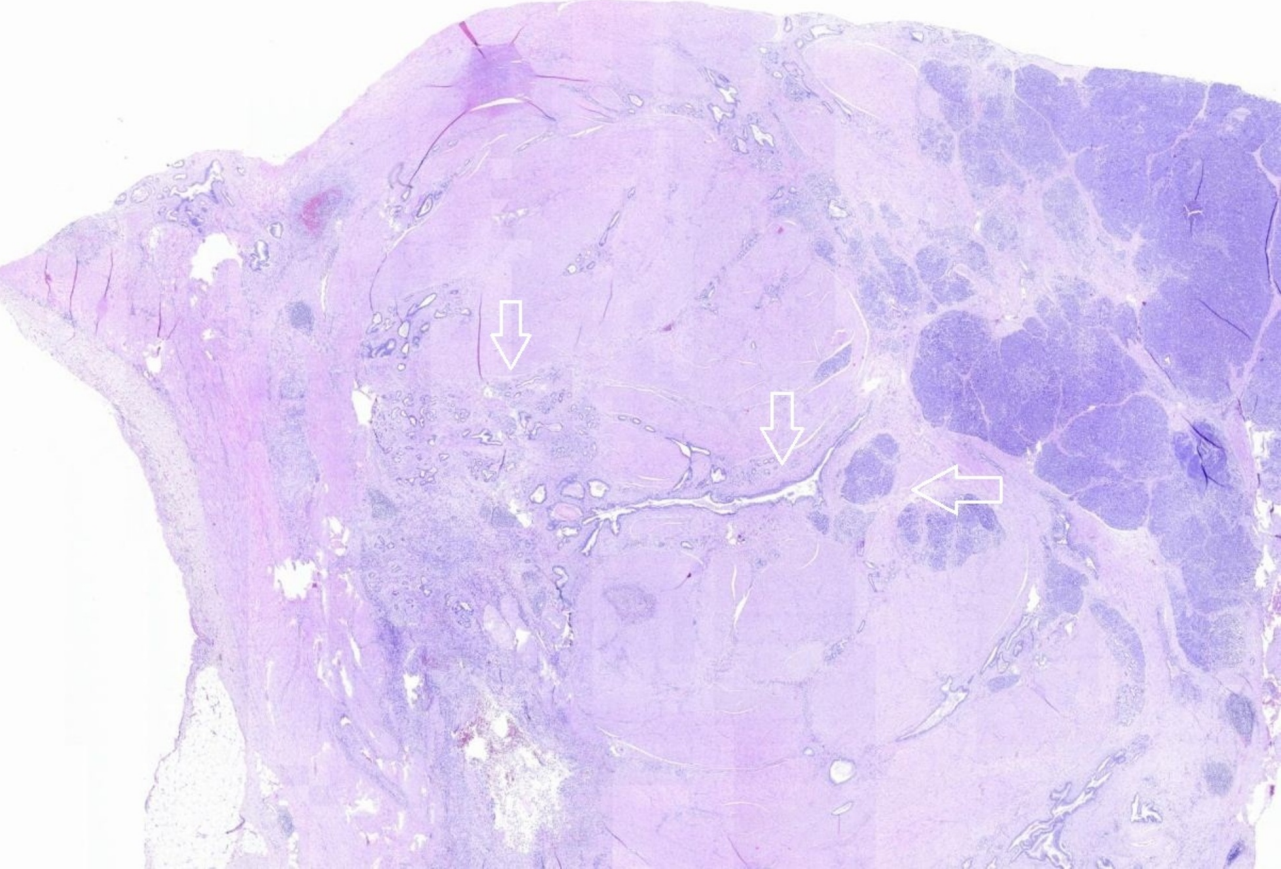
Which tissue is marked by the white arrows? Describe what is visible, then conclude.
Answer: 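Pancreatic parenchyma. Dark purple lobules of densely packed glandular tissue lie at the right, one marked by the leftward arrow. The downward arrows point to dilated, irregular duct lumina lined by epithelium. The ducts and lobules sit among broad pale pink bundles of smooth muscle.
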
